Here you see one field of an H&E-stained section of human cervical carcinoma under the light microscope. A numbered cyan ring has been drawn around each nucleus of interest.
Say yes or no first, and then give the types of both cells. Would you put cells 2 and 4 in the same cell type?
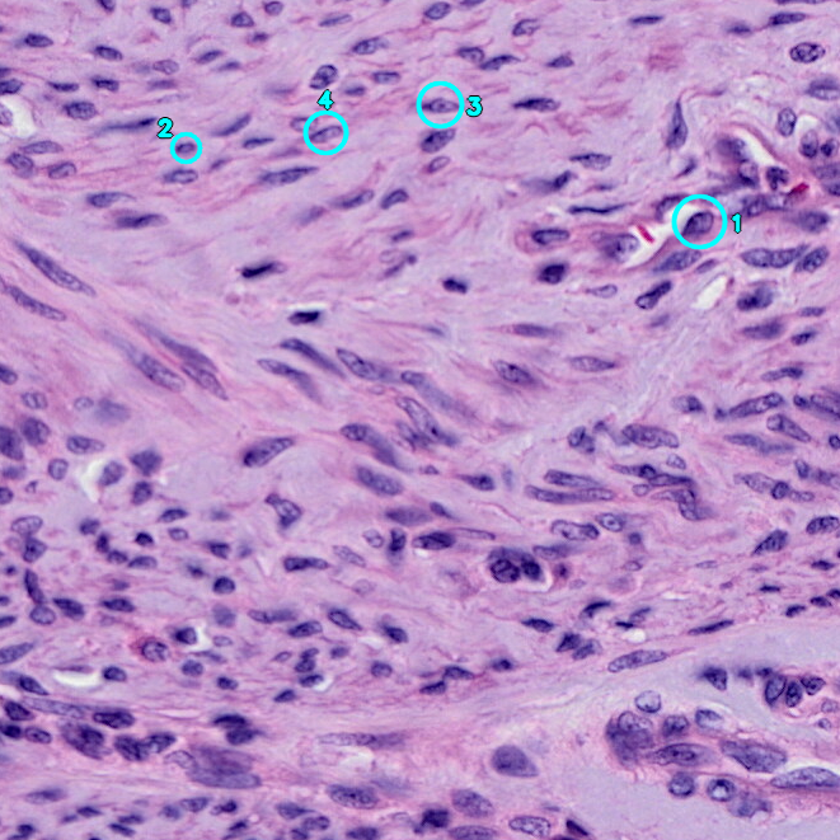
Yes, cells 2 and 4 both qualify as smooth muscle cells.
